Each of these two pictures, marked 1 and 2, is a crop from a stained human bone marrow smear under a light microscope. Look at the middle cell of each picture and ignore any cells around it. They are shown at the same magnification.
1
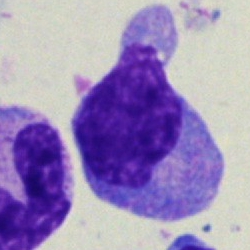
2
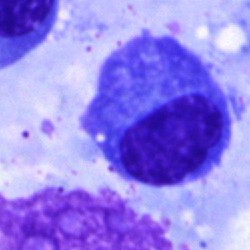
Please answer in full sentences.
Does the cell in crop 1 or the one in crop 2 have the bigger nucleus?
Larger is the nucleus in crop 1, at roughly 1.5 times the area of the other.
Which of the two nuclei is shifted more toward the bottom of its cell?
The nucleus in crop 2 lies further toward the bottom of its cell.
